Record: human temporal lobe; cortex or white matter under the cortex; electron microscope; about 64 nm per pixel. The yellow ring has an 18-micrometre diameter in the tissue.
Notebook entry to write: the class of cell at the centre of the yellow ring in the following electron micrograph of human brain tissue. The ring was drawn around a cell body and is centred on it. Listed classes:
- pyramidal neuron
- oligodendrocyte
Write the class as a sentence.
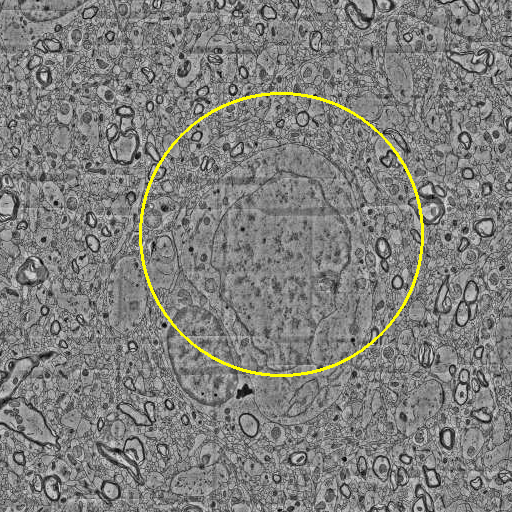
The yellow ring sits on a pyramidal neuron.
